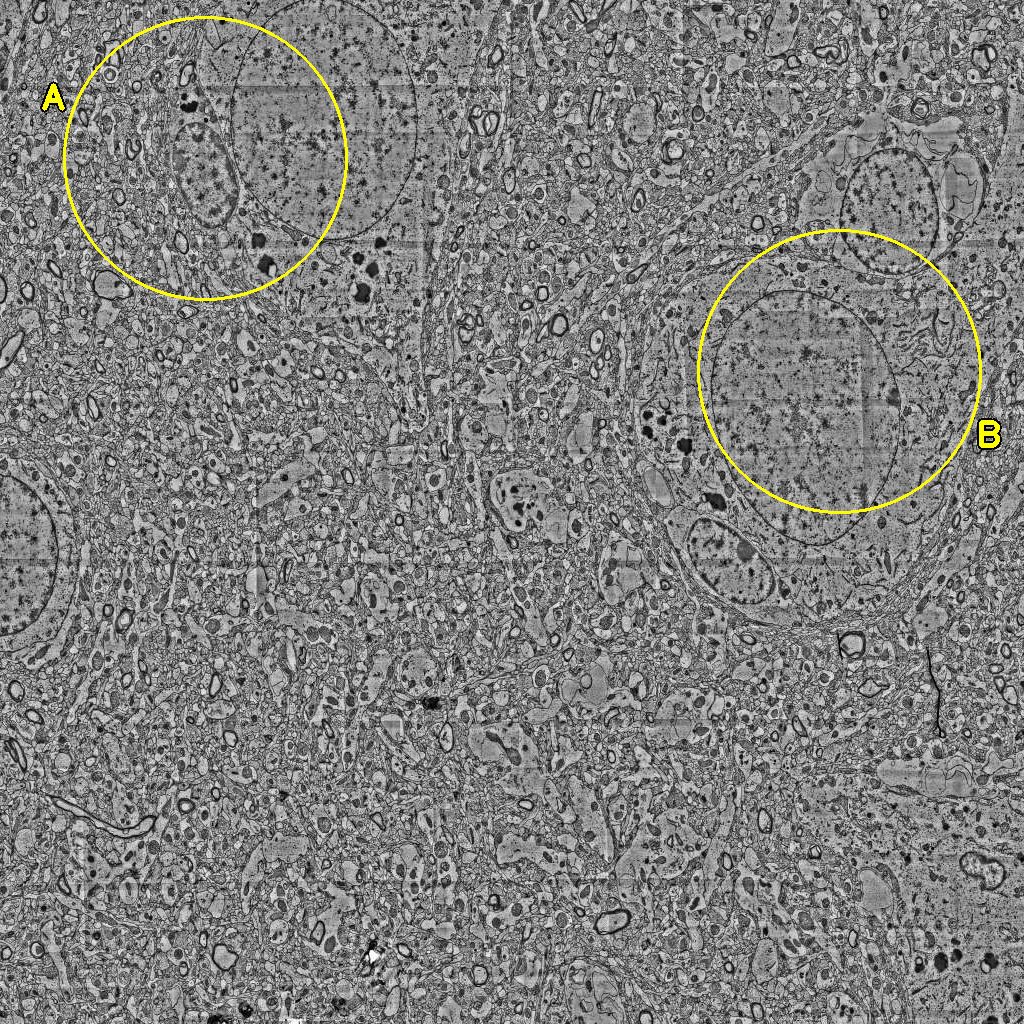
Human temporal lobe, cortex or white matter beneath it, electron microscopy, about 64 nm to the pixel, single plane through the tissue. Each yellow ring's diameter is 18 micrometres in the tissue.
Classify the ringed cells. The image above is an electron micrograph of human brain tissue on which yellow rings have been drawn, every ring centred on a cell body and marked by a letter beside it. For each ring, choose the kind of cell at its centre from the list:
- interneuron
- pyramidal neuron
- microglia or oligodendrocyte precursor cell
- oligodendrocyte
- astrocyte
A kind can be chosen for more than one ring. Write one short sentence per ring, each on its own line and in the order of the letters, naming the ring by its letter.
Ring A is placed around an oligodendrocyte.
Ring B is placed around a pyramidal neuron.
